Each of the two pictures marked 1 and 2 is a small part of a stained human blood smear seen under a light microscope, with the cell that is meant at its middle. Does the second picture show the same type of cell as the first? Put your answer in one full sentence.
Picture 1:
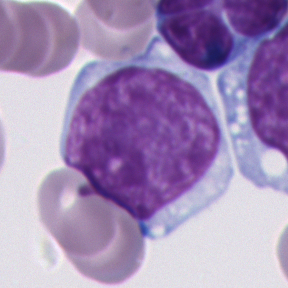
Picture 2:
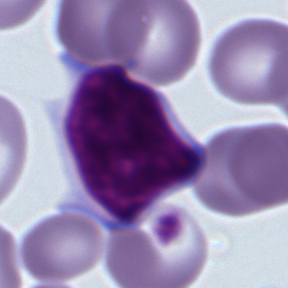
No, the types are not the same, since picture 1 shows a myeloblast and picture 2 a typical lymphocyte.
